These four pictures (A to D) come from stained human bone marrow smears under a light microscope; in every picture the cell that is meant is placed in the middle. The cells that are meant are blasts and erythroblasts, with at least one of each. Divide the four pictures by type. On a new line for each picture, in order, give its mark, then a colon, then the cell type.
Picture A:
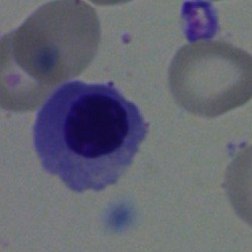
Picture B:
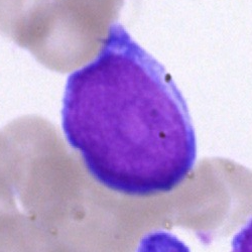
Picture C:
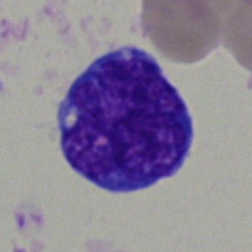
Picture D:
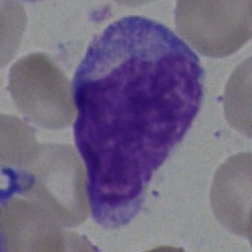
A: erythroblast
B: blast
C: blast
D: blast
